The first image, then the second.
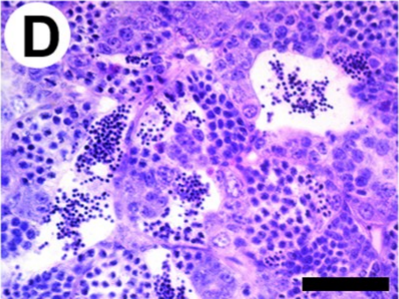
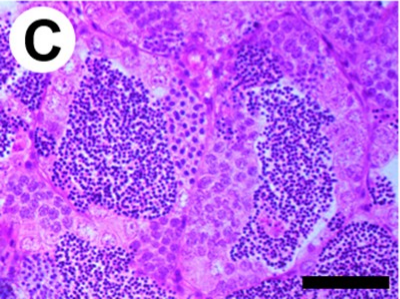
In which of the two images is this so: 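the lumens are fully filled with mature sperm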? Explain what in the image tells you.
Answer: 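The second image. First image: lumens are largely empty white spaces with only small scattered clusters of tiny dark heads. Second image: lumens are densely packed with tiny dark heads with little empty space.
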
